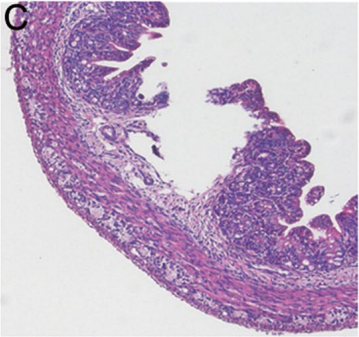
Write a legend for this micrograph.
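Here the intestinal wall is cut in cross-section, with a pink layered muscular coat on the outside and a thick purple mucosa facing the lumen. The mucosal surface is ragged: instead of regular villi there are irregular stubs, and torn fragments of mucosa lie free in the pale lumen. Between the mucosa and the muscle lies a looser, paler layer of connective tissue.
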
